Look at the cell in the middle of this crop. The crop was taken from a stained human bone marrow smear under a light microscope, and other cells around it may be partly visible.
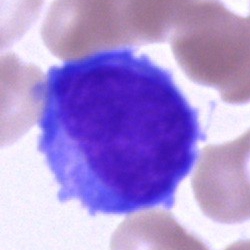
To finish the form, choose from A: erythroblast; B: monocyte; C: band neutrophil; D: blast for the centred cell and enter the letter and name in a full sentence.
Correctly, option D names the cell in the middle a blast.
